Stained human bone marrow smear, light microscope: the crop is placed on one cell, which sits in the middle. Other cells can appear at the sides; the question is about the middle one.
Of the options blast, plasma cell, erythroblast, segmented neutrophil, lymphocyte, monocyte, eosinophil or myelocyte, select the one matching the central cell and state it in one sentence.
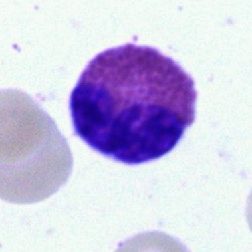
For this crop, the central cell is an eosinophil.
